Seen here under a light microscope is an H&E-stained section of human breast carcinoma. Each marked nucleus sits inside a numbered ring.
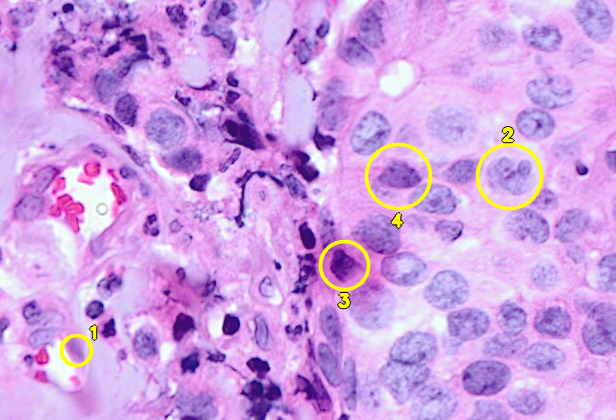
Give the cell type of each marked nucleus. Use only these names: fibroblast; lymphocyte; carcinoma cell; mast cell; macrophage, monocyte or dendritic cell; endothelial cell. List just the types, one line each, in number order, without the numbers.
endothelial cell
carcinoma cell
carcinoma cell
carcinoma cell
